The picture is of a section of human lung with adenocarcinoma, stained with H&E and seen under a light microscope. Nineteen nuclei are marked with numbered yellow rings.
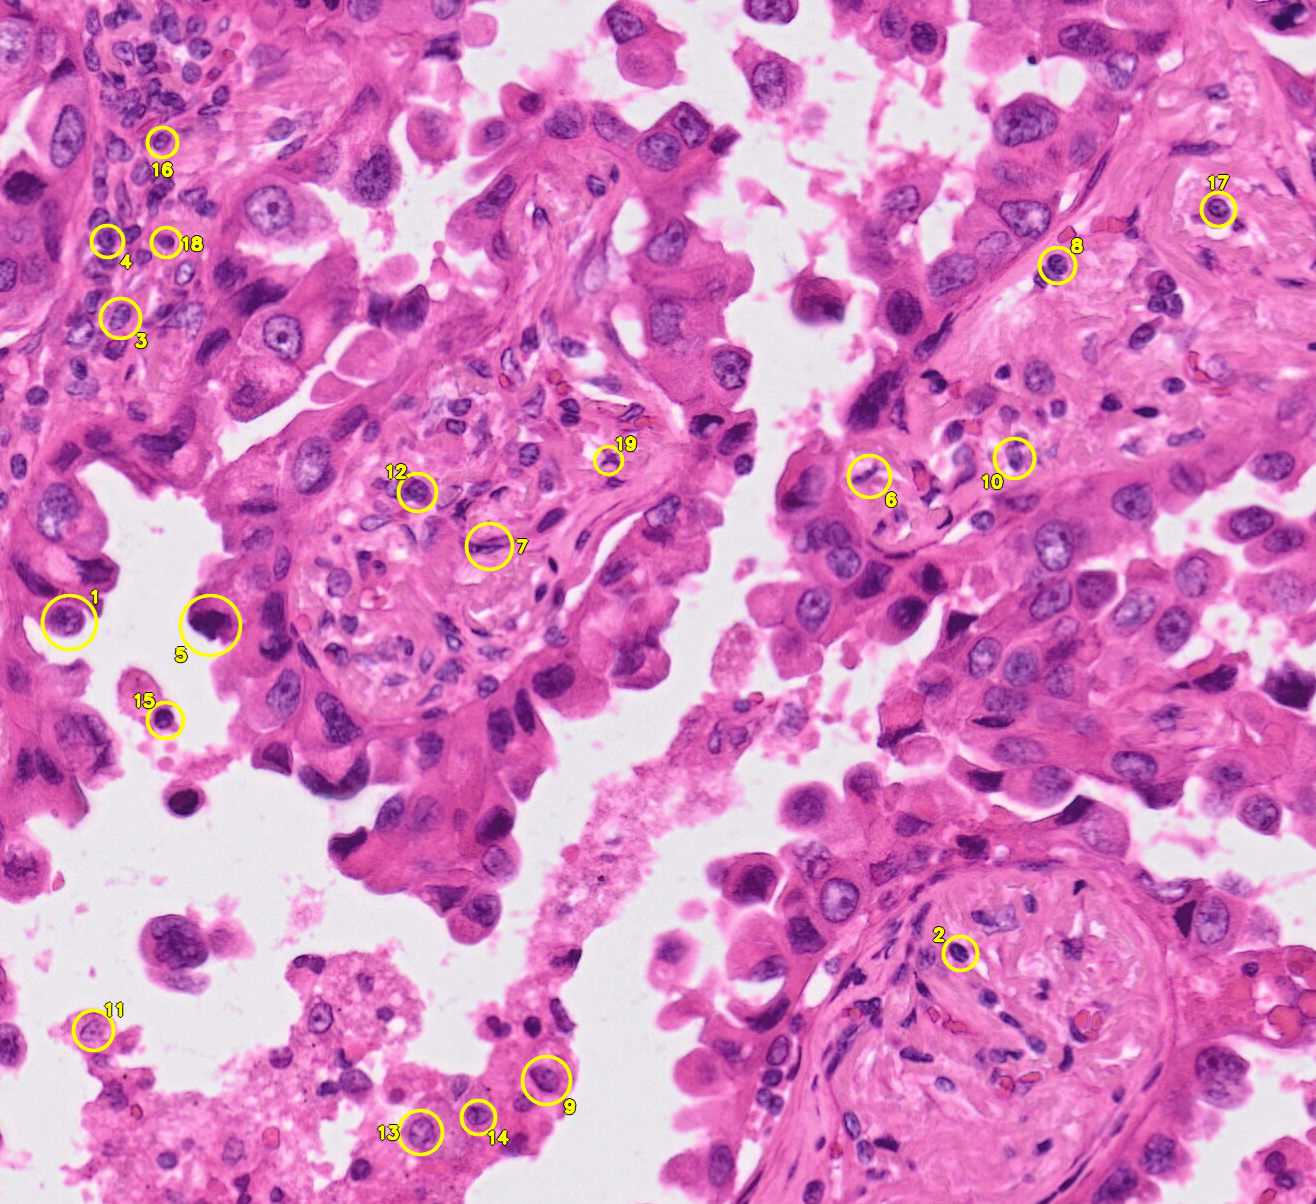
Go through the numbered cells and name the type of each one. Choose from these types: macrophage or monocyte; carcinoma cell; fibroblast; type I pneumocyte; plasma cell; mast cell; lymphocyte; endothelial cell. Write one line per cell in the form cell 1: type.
cell 1: carcinoma cell
cell 2: lymphocyte
cell 3: mast cell
cell 4: lymphocyte
cell 5: carcinoma cell
cell 6: fibroblast
cell 7: fibroblast
cell 8: lymphocyte
cell 9: macrophage or monocyte
cell 10: lymphocyte
cell 11: macrophage or monocyte
cell 12: plasma cell
cell 13: macrophage or monocyte
cell 14: macrophage or monocyte
cell 15: lymphocyte
cell 16: lymphocyte
cell 17: plasma cell
cell 18: lymphocyte
cell 19: fibroblast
